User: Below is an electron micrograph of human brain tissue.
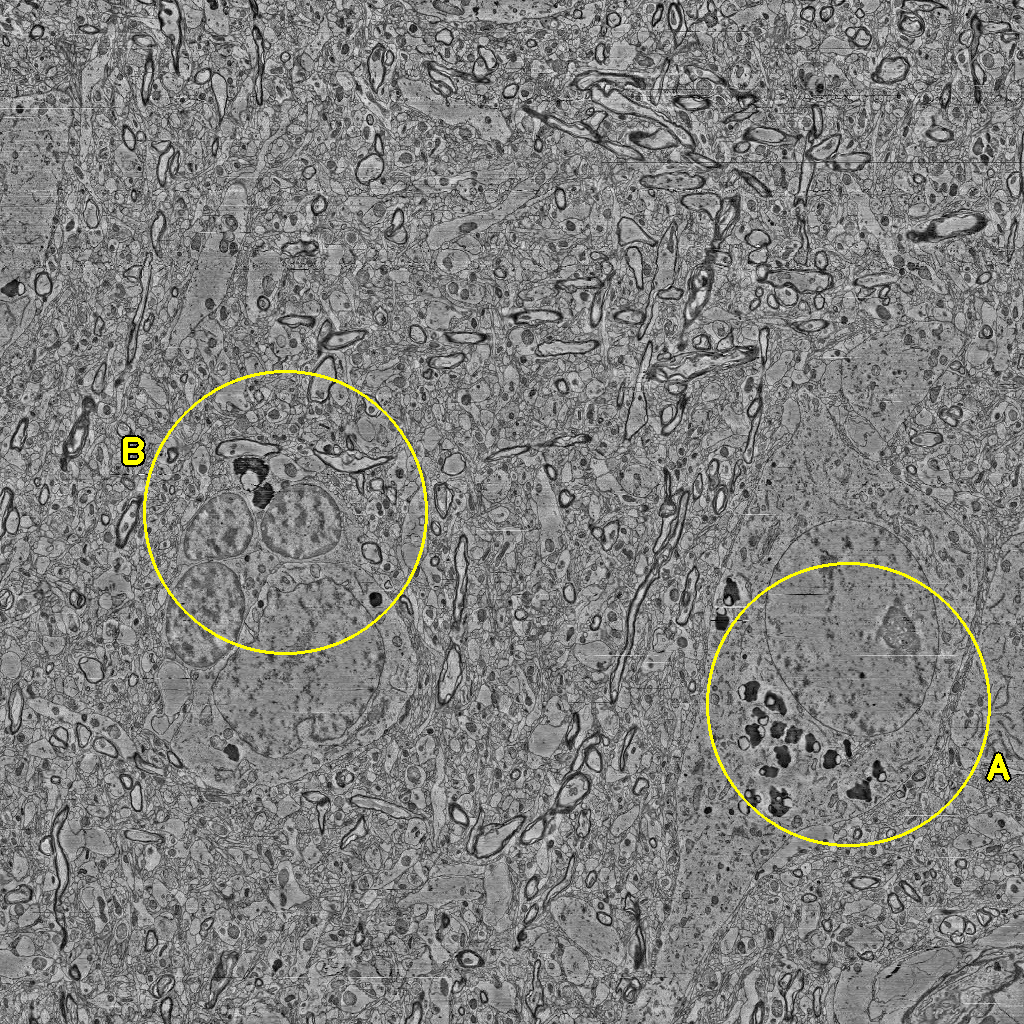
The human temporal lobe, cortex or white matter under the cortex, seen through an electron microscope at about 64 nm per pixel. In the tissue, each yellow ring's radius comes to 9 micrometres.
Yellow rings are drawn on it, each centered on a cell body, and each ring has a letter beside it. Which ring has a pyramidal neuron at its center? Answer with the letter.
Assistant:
A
